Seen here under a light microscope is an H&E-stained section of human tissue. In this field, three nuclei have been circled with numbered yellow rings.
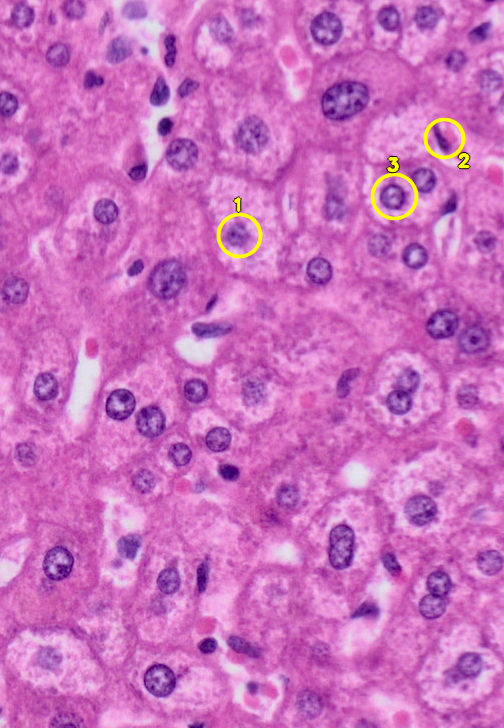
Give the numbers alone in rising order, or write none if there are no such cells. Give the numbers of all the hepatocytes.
1, 3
